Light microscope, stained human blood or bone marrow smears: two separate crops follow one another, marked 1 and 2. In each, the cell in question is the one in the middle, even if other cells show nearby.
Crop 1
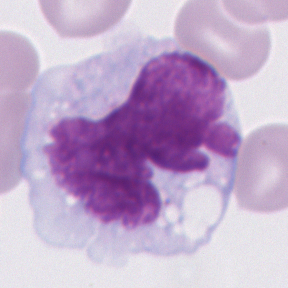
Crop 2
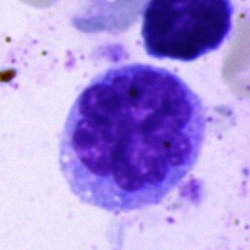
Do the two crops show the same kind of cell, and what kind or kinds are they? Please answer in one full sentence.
Yes, the same answer goes for both crops, namely monocytes.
